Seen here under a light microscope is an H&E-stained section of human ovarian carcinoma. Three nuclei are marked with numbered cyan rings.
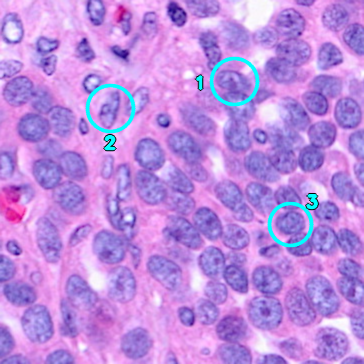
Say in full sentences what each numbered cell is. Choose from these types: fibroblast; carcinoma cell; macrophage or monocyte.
Cell 1 is a carcinoma cell, cell 2 is a fibroblast and cell 3 is a carcinoma cell.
